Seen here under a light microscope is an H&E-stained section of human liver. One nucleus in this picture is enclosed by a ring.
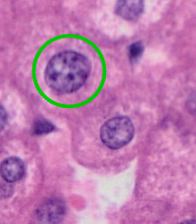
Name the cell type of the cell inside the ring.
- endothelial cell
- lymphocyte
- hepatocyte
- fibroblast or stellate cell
hepatocyte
